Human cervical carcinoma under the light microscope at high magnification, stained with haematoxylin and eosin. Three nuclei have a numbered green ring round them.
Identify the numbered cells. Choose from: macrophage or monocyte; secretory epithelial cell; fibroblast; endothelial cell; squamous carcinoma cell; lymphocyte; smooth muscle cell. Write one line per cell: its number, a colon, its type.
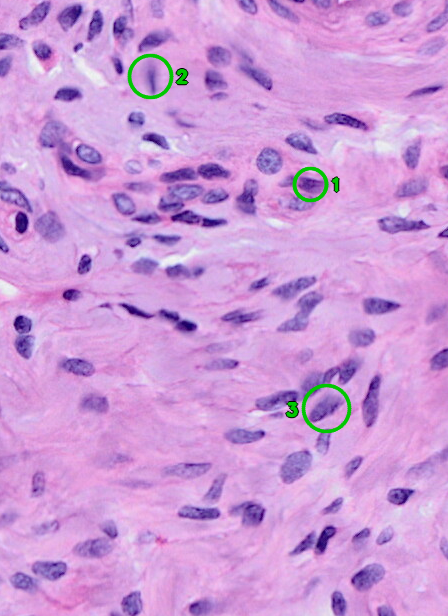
1: endothelial cell
2: fibroblast
3: fibroblast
